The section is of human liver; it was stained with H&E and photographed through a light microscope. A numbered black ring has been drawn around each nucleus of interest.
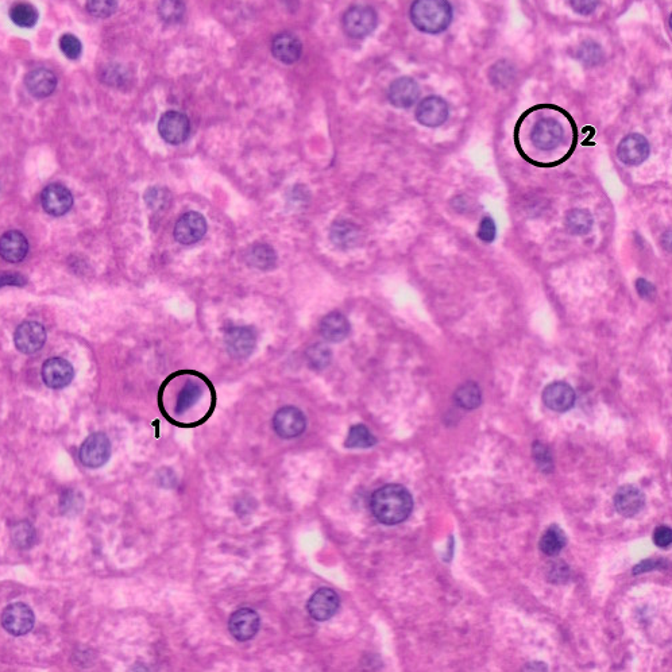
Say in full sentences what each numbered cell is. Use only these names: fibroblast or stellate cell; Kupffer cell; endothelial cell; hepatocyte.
Cell 1 is a fibroblast or stellate cell and cell 2 is a hepatocyte.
